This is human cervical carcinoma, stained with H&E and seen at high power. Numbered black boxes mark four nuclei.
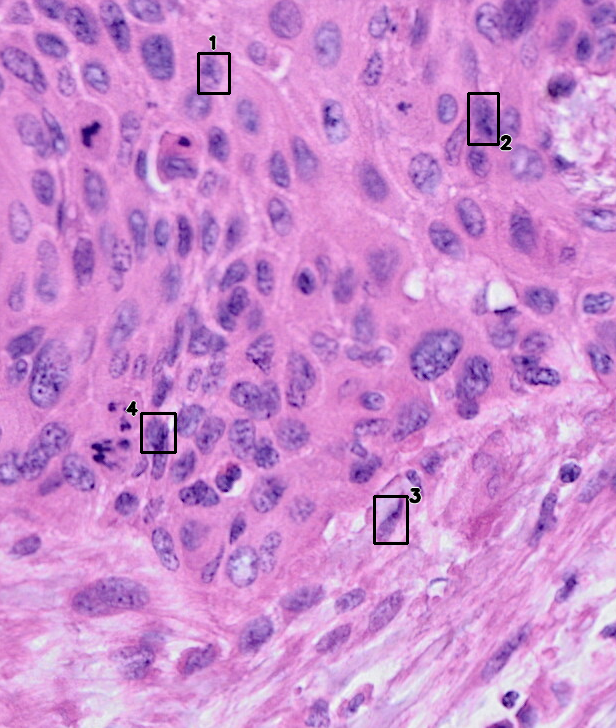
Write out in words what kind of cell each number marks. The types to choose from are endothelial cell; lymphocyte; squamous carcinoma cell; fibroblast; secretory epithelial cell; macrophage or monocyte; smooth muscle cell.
Cells 1, 2 and 4 are squamous carcinoma cells. Cell 3 is a fibroblast.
